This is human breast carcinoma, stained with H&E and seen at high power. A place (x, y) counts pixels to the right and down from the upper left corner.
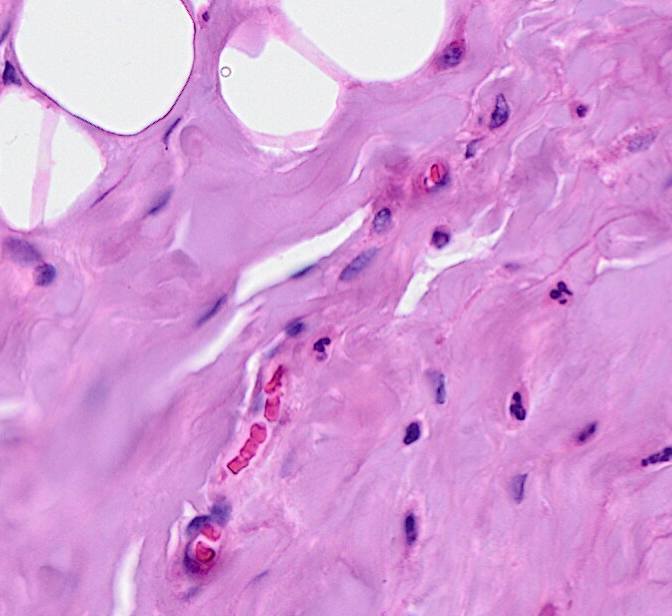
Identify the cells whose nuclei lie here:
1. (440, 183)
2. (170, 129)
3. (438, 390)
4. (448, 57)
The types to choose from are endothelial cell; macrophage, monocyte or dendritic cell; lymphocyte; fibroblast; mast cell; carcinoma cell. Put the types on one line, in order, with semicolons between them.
endothelial cell; fibroblast; fibroblast; mast cell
